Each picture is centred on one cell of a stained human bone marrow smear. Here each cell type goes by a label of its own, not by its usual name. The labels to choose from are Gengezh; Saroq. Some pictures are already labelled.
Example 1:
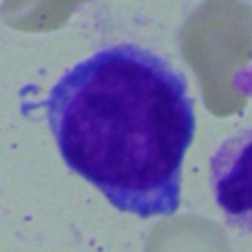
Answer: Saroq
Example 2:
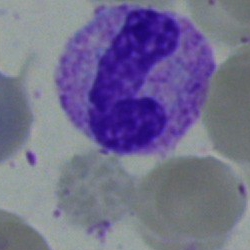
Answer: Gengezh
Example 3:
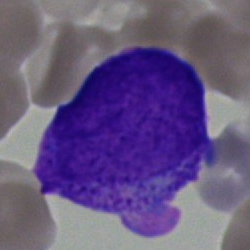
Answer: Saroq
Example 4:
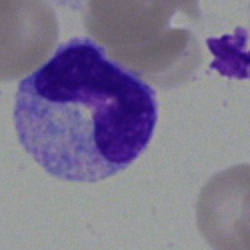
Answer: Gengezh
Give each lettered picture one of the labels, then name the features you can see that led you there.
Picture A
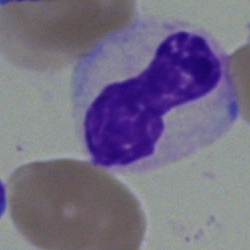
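Label: Gengezh. The chromatin is dark purple and coarsely clumped, with small pale gaps.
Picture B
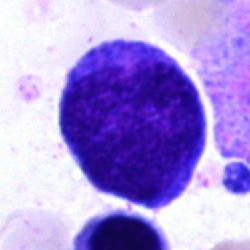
Label: Saroq. Cytoplasm is scant, at most a thin rim around the nucleus.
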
